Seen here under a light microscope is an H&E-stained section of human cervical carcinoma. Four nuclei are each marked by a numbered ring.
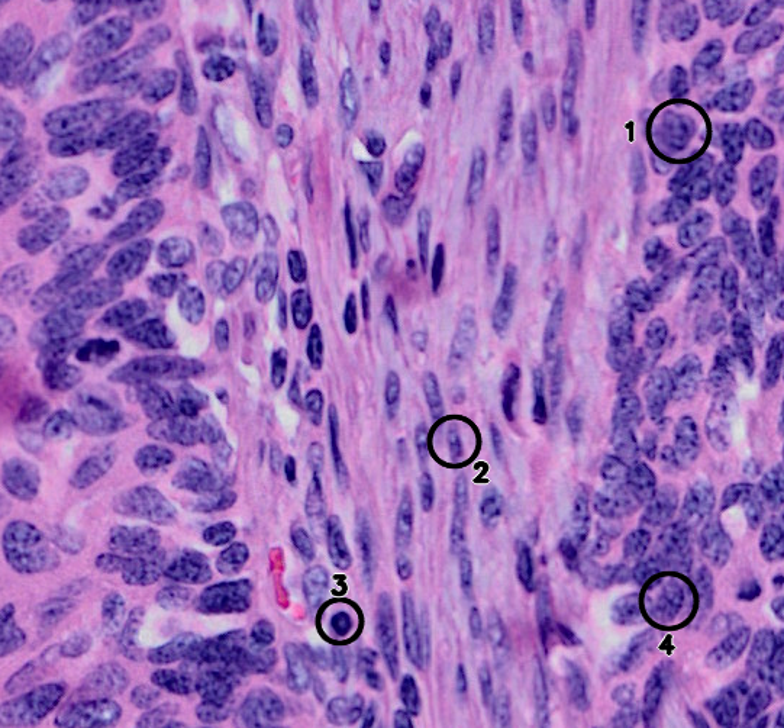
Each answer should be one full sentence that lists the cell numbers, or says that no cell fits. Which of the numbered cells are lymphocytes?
The cell bearing the number 3 is a lymphocyte, unlike the rest of the numbered cells.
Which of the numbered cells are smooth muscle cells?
Just the cell marked 2 is a smooth muscle cell; none of the other marked cells is.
